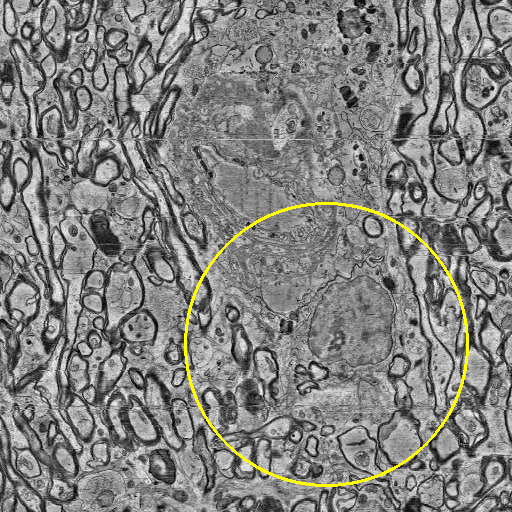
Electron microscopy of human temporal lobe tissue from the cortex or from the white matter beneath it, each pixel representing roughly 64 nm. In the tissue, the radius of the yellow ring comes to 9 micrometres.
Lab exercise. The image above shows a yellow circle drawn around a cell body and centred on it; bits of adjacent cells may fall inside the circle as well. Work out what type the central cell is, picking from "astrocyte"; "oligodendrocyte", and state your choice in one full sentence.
In the image above, the cell at the centre of the yellow circle is an oligodendrocyte.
